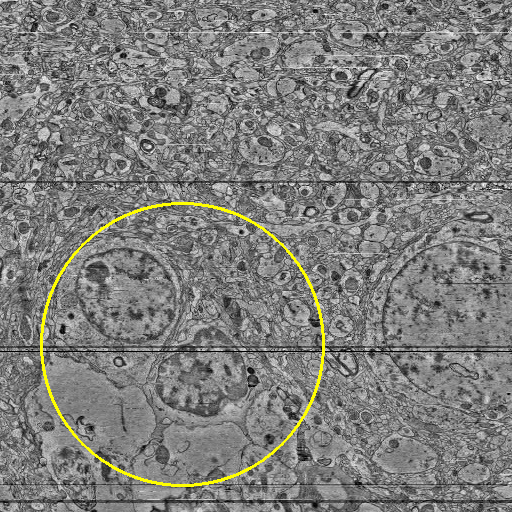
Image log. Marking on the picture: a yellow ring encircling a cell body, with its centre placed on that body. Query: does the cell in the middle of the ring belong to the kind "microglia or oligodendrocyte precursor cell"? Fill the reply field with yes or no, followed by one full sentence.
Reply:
Yes, the cell at the centre of the yellow ring in this picture belongs to that kind.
